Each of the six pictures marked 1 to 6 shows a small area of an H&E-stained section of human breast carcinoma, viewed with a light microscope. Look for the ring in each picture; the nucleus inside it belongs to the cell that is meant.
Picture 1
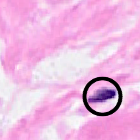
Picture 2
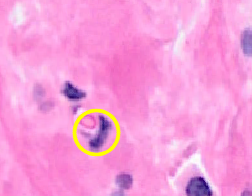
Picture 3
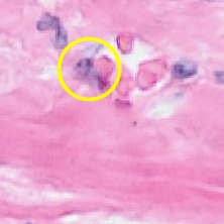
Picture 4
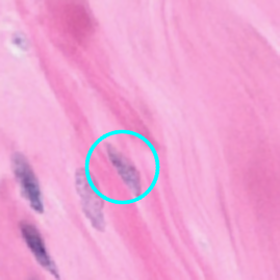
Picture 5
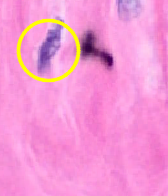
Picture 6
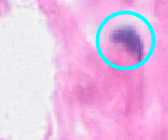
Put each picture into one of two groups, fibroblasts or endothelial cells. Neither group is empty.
1: fibroblast
2: endothelial cell
3: endothelial cell
4: fibroblast
5: fibroblast
6: fibroblast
